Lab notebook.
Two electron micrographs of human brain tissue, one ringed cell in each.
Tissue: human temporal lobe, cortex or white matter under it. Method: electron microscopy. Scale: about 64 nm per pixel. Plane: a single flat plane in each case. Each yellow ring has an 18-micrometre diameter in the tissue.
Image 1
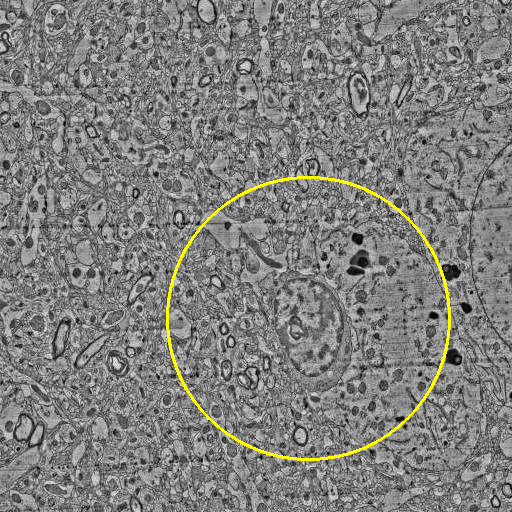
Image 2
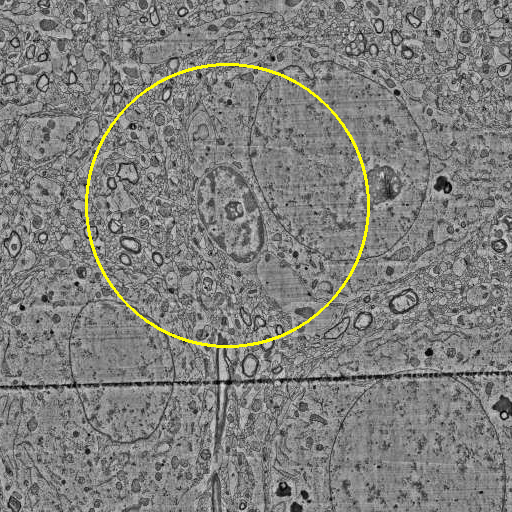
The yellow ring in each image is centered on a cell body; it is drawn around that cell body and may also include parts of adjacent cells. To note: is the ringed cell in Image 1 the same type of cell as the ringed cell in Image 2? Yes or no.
yes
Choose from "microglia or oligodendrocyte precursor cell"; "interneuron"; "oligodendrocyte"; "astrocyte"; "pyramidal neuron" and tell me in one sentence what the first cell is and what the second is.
In each picture the ringed cell is an oligodendrocyte.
